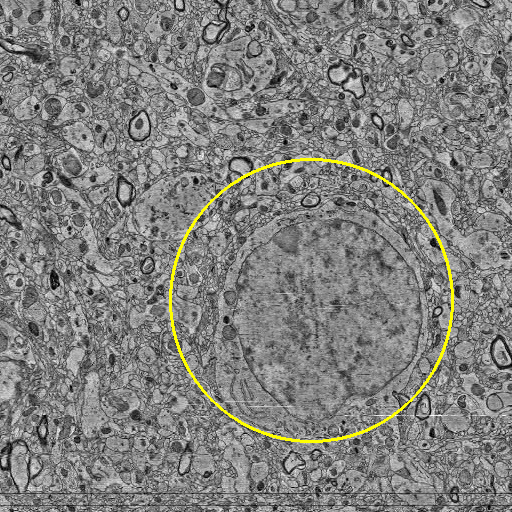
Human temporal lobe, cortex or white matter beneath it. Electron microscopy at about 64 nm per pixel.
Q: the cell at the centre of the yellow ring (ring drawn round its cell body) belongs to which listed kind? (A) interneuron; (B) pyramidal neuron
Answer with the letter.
A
